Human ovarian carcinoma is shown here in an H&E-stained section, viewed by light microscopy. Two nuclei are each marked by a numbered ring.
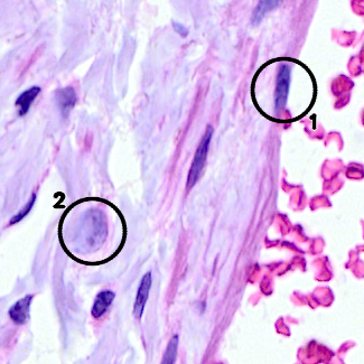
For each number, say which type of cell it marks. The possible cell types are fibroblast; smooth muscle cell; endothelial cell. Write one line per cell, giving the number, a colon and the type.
1: endothelial cell
2: fibroblast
